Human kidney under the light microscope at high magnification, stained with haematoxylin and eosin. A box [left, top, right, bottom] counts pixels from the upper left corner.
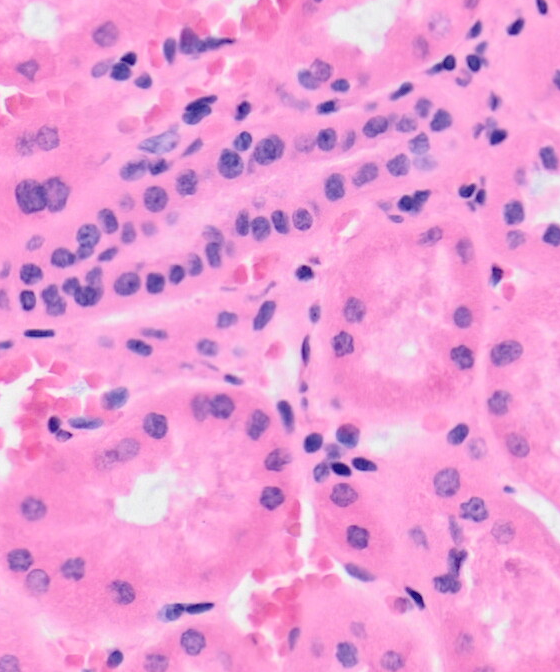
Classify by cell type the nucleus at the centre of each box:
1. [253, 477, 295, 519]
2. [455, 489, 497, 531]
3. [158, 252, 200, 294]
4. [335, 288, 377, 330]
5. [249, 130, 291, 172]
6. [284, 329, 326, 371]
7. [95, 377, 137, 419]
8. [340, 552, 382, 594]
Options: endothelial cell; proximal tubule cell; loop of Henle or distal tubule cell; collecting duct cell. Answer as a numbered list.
1. proximal tubule cell
2. proximal tubule cell
3. collecting duct cell
4. proximal tubule cell
5. collecting duct cell
6. endothelial cell
7. endothelial cell
8. endothelial cell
